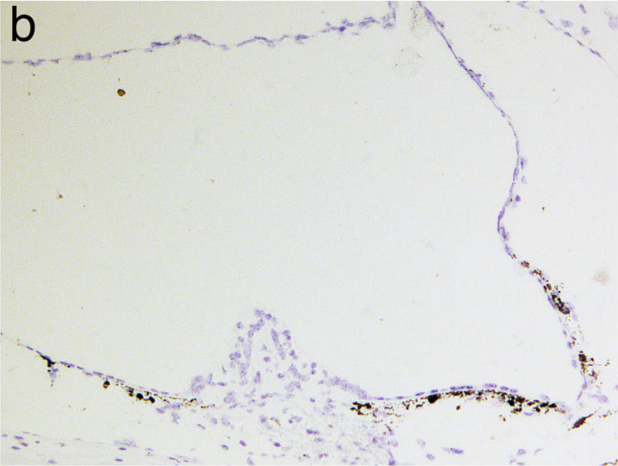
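A wide fluid-filled space is bounded by a very thin wall of flattened cells with small blue nuclei. On the floor of the space, a small mound of cells with crowded blue nuclei projects upward into the lumen. Along the thin wall on either side of this mound, and up the right-hand wall, coarse dark brown-black granules gather in irregular clumps between the flattened cells. Elsewhere the tissue shows no brown colour. This is the membranous labyrinth of a semicircular canal ampulla, the mound being the crista, with pigment-laden melanocytes interspersed in the wall beside it.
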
